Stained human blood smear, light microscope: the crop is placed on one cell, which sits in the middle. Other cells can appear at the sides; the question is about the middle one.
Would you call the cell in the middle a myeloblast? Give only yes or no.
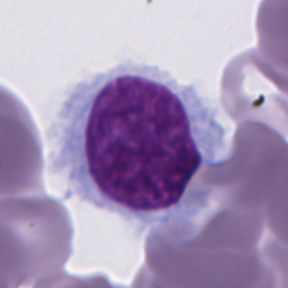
no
